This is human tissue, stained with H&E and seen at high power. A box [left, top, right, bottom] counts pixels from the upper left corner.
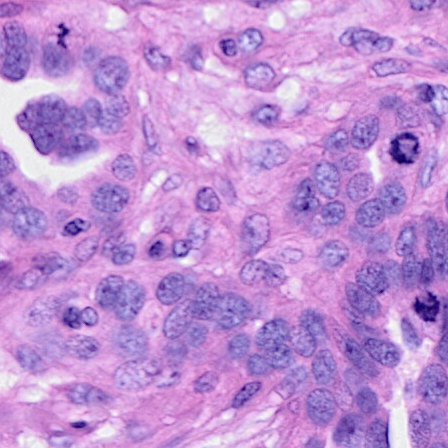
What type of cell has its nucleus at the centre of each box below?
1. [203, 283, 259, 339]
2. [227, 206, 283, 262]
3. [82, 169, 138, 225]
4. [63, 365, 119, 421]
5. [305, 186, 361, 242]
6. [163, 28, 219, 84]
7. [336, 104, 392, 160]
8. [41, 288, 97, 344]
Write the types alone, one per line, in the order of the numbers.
carcinoma cell
fibroblast
carcinoma cell
fibroblast
carcinoma cell
fibroblast
carcinoma cell
lymphocyte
